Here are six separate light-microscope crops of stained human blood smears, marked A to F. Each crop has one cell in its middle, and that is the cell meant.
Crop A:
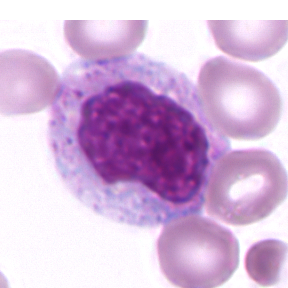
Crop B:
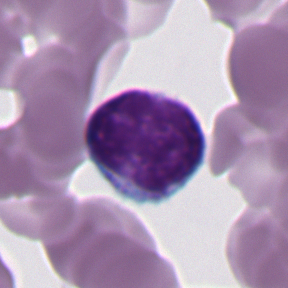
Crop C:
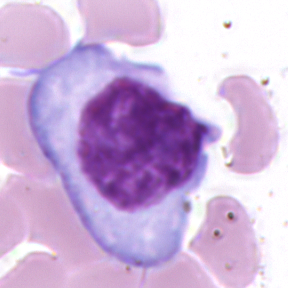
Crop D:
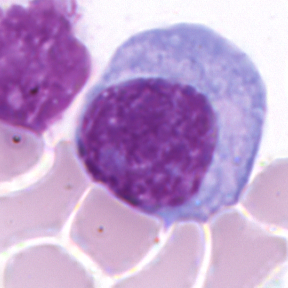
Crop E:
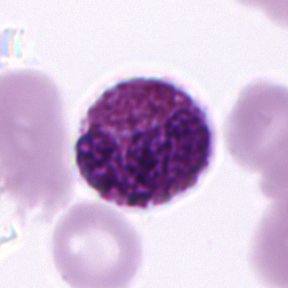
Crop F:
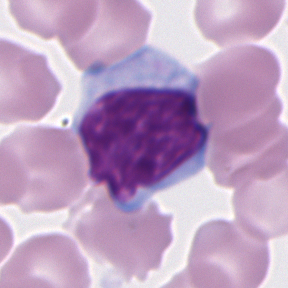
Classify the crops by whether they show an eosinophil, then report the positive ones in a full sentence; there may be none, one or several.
Crop E is unique among the crops in showing an eosinophil.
